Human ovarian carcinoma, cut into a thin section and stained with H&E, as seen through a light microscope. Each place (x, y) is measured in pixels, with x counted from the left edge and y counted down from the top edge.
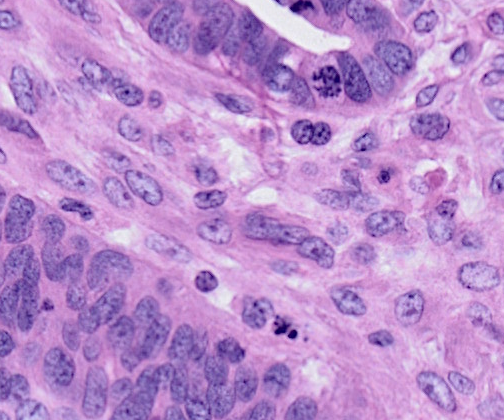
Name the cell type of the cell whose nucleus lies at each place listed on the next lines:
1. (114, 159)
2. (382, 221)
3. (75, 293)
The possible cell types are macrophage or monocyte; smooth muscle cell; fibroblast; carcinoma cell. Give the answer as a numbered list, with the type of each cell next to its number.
1. fibroblast
2. fibroblast
3. carcinoma cell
